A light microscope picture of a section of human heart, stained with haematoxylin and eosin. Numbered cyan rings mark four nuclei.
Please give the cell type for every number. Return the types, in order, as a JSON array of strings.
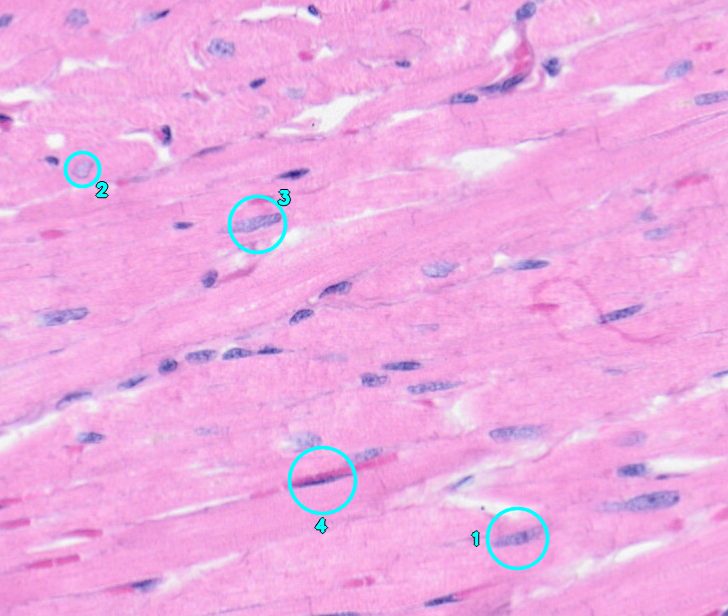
["cardiomyocyte", "cardiomyocyte", "cardiomyocyte", "endothelial cell"]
